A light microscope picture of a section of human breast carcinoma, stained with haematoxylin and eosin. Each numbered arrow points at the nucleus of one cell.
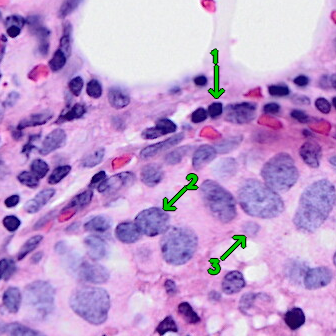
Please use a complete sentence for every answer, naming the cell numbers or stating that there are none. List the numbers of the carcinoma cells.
The cells numbered 2 and 3 are typed as carcinoma cells.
